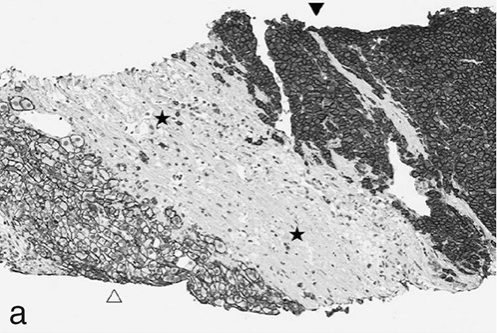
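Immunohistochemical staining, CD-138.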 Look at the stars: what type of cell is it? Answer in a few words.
Fibroblasts.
